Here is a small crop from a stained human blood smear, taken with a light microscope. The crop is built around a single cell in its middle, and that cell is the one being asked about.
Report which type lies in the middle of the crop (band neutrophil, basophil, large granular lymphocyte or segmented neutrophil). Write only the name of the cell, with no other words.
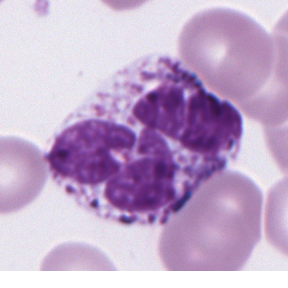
basophil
